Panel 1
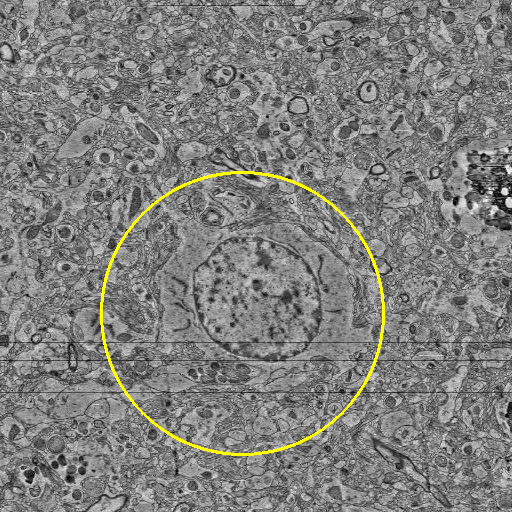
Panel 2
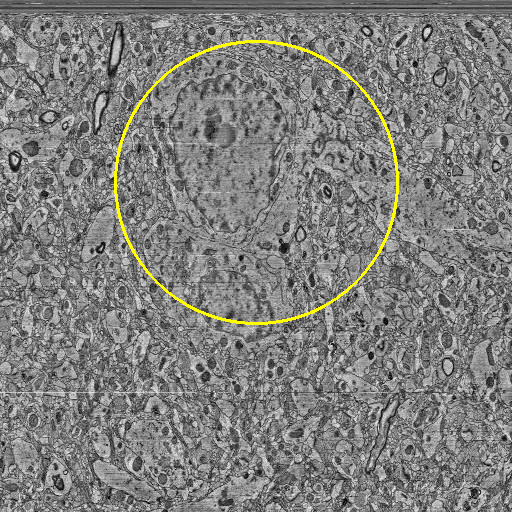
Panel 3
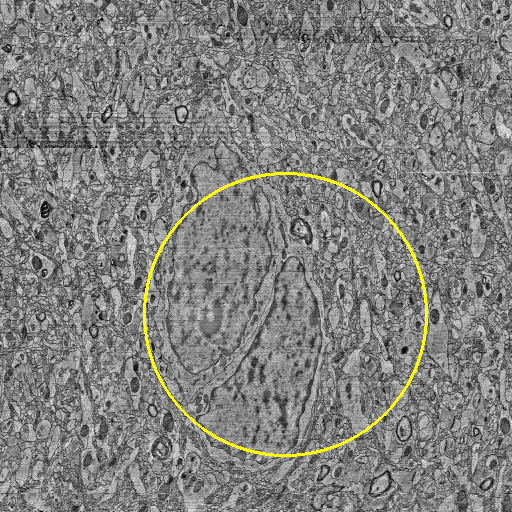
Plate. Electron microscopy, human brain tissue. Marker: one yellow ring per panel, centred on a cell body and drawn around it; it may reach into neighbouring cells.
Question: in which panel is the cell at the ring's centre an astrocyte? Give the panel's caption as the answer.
Panel 1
